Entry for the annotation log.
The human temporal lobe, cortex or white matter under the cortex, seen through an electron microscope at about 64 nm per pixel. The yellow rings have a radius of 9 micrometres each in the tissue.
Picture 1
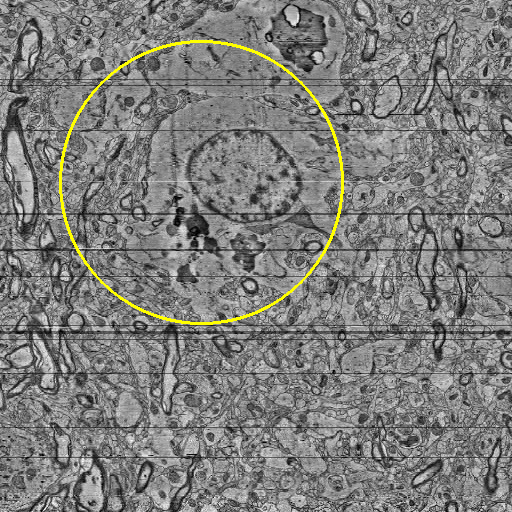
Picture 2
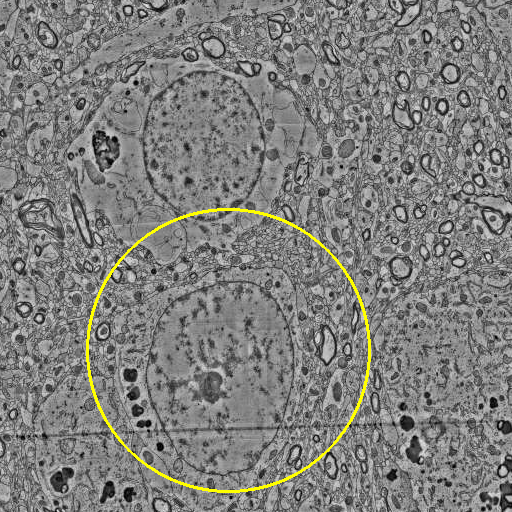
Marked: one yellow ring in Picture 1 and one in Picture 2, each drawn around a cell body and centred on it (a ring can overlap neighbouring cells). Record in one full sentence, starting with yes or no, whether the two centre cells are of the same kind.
No, the two cells are of two kinds.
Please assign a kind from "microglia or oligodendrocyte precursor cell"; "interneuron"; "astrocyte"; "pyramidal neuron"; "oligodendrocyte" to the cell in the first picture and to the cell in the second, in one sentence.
In the first picture we have an astrocyte, and in the second, a pyramidal neuron.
